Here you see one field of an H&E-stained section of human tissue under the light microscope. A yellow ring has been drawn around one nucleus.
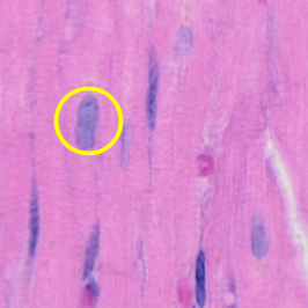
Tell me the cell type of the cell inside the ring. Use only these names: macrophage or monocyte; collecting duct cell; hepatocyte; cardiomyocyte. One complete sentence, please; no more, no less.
It is as a cardiomyocyte that the cell inside the ring is recorded.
